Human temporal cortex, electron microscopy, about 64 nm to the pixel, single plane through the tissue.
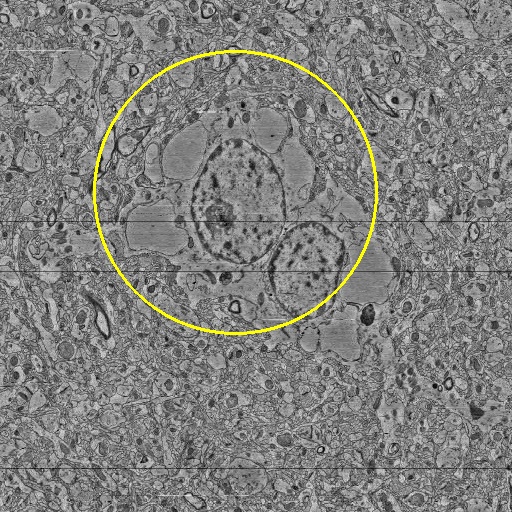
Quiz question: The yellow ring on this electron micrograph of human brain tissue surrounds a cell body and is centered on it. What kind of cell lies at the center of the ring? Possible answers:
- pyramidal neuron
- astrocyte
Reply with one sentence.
The ring's center lies on an astrocyte.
